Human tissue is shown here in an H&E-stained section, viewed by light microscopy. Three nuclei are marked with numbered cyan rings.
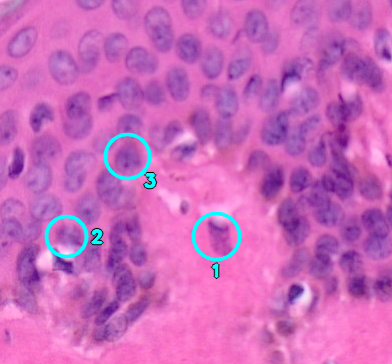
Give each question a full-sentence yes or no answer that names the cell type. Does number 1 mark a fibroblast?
Yes, for number 1, the cell is a fibroblast.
